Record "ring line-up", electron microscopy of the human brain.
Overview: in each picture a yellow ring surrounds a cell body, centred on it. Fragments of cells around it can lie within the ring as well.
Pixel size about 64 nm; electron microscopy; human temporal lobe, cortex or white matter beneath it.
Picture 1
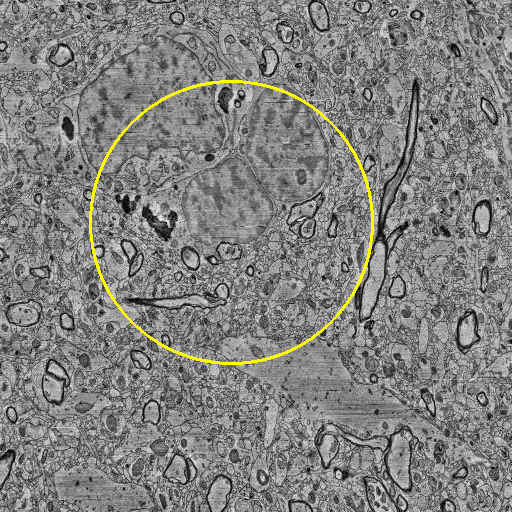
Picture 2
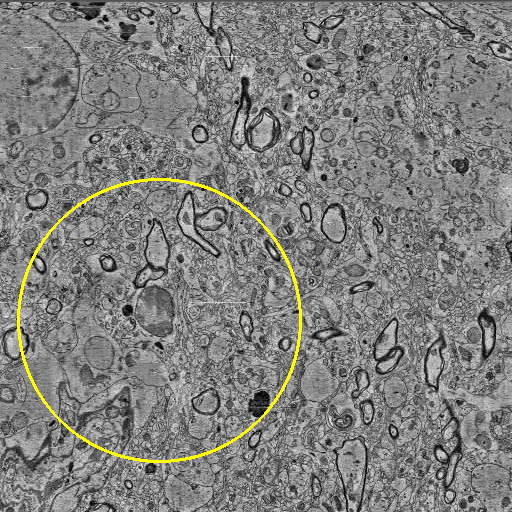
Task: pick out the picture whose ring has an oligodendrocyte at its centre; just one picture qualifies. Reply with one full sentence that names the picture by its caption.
Going by the cell at the ring's centre, the right choice is Picture 1.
